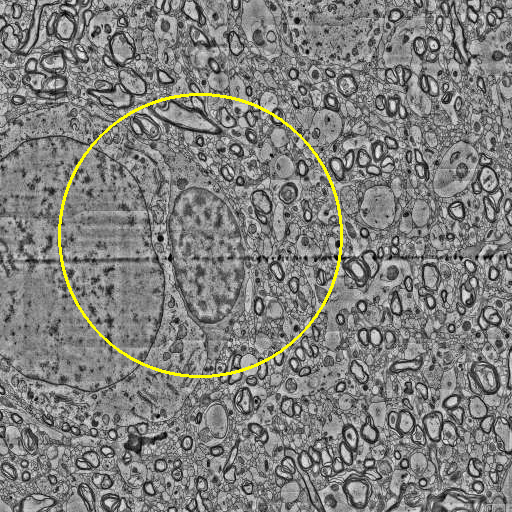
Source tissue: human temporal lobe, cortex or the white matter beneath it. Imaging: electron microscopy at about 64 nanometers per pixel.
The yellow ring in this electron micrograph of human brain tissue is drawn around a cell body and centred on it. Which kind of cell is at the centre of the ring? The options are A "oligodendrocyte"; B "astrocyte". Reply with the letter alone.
A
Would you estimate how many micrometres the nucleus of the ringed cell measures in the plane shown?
The ringed cell's nucleus is roughly 9 by 5 micrometres and clearly longer than it is wide in this plane.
